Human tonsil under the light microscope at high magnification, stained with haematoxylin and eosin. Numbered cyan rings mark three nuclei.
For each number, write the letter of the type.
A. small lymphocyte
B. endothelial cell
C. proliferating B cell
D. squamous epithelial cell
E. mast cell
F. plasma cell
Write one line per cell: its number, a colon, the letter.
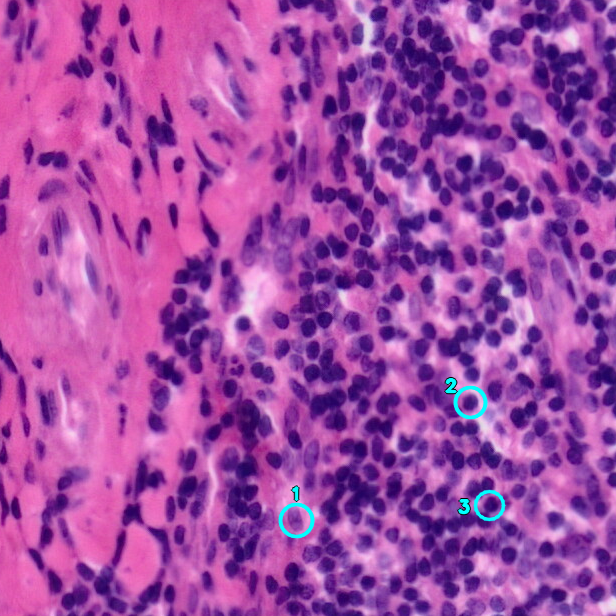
1: B
2: A
3: A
